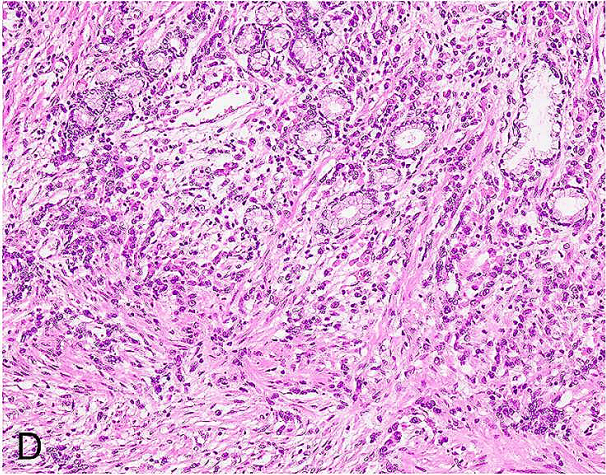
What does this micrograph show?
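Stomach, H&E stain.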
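This field shows gastric tissue where atypical epithelium and fibrous tissue are intermingled. A few small glands with pale mucin-containing cells remain, mostly in the upper part of the field. Around and between them lie many scattered cells with dark, irregular nuclei, forming loose sheets rather than proper glands. In the lower part, pink fibrous bands with elongated spindle-shaped nuclei sweep across the field and mix with these cells. The normal ordered arrangement of glands is lost, and epithelium and fibrous stroma blend into one another.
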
